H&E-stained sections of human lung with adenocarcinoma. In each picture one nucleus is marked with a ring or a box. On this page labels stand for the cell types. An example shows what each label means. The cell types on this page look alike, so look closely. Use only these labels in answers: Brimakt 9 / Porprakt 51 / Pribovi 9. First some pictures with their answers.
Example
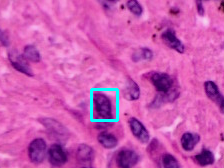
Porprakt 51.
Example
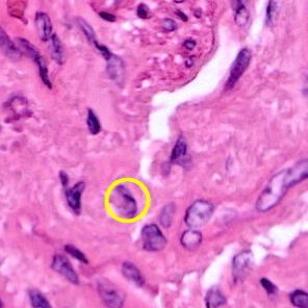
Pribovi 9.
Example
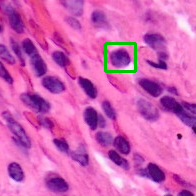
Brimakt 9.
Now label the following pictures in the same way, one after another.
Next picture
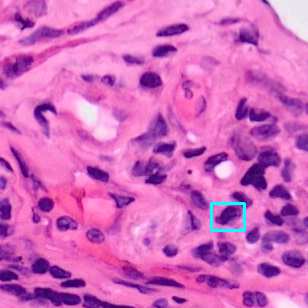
Brimakt 9.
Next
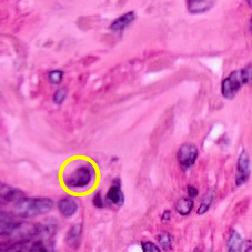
Porprakt 51.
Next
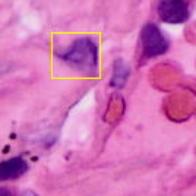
Pribovi 9.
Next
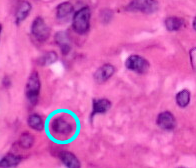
Porprakt 51.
